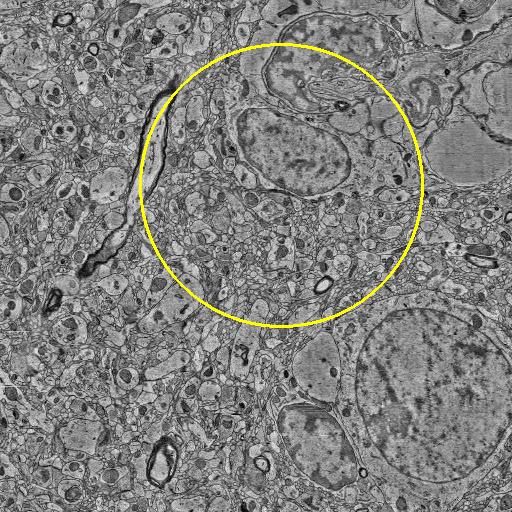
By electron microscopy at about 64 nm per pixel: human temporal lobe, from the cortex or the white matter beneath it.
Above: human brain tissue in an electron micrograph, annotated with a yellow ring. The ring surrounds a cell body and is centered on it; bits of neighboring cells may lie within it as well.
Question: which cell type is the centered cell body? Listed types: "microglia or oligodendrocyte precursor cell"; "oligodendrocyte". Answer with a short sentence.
The centered cell body is a microglial cell or oligodendrocyte precursor cell.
